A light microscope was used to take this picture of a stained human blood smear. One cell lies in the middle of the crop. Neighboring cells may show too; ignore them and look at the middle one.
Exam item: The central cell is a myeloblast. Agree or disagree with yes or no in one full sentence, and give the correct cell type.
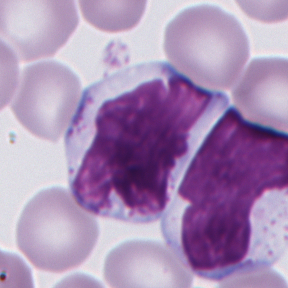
No, the middle cell is actually a large granular lymphocyte rather than a myeloblast.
